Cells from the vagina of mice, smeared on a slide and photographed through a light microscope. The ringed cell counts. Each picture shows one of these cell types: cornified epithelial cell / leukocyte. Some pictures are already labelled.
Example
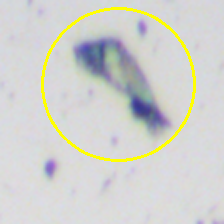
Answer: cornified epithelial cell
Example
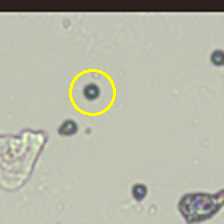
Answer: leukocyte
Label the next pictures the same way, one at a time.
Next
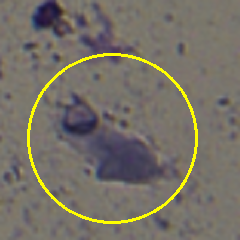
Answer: cornified epithelial cell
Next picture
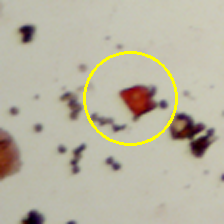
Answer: cornified epithelial cell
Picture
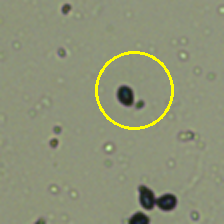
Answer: leukocyte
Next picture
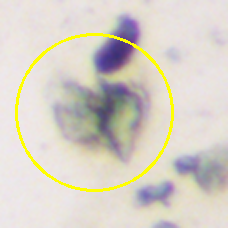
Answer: cornified epithelial cell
